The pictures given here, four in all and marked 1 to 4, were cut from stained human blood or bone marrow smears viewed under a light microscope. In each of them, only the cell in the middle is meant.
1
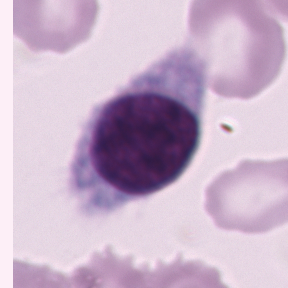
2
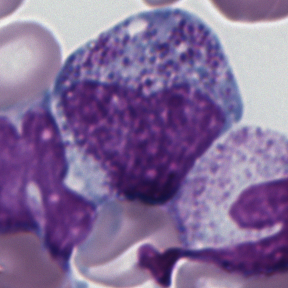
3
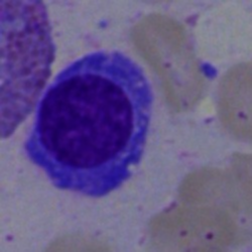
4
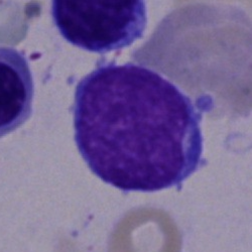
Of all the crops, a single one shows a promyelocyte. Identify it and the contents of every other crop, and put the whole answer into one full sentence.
Crop 2 is identified as a promyelocyte, while crop 1 is a hairy cell, crop 3 is a plasma cell and crop 4 is a blast.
